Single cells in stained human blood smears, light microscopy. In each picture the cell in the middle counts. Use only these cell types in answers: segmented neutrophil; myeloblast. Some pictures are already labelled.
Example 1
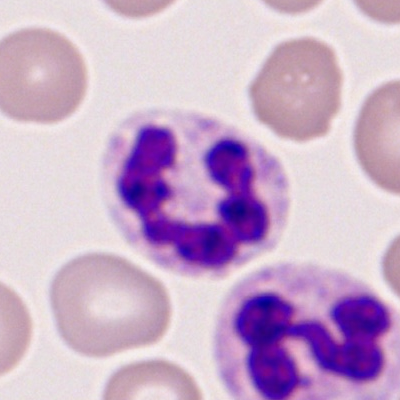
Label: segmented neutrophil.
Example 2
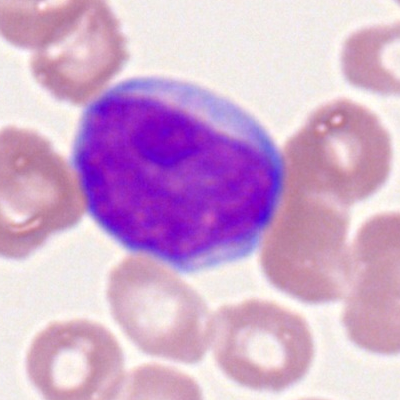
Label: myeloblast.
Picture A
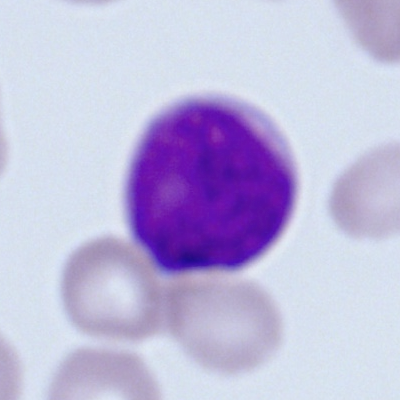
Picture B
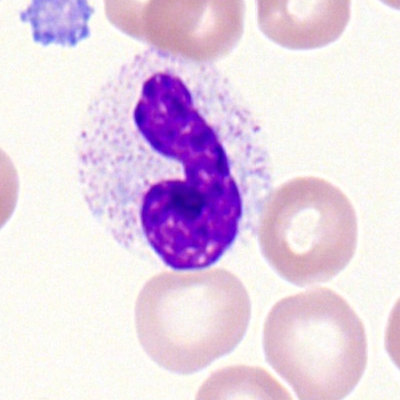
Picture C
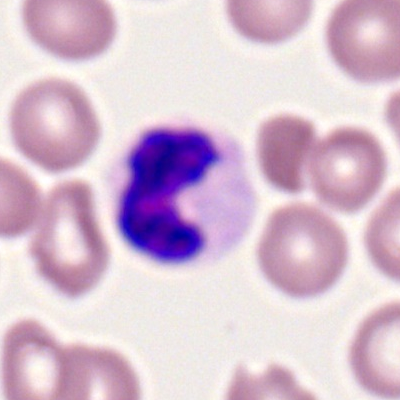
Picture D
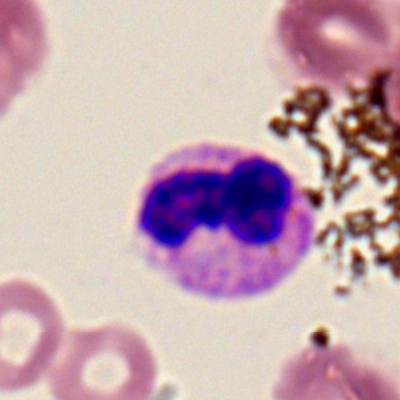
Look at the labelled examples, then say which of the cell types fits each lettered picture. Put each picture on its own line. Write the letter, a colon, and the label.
A: myeloblast.
B: segmented neutrophil.
C: segmented neutrophil.
D: segmented neutrophil.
